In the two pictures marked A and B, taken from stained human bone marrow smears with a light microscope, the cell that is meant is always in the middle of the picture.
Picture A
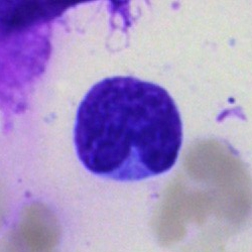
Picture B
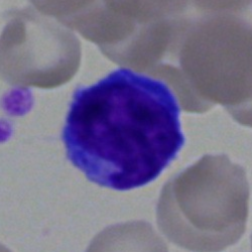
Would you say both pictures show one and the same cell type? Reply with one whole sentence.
Yes, the two pictures both show lymphocytes.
